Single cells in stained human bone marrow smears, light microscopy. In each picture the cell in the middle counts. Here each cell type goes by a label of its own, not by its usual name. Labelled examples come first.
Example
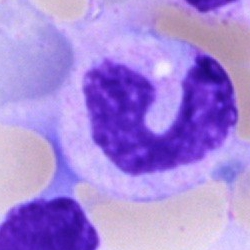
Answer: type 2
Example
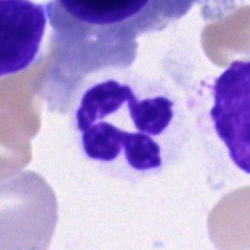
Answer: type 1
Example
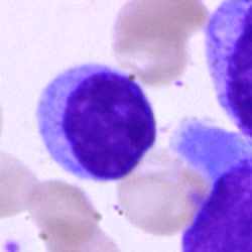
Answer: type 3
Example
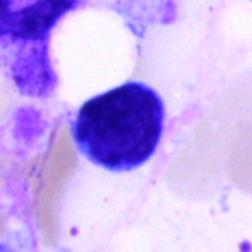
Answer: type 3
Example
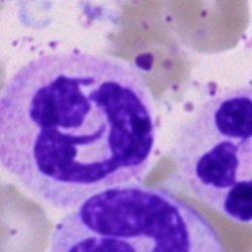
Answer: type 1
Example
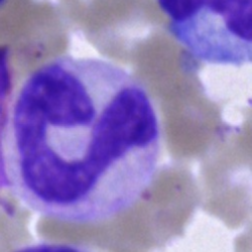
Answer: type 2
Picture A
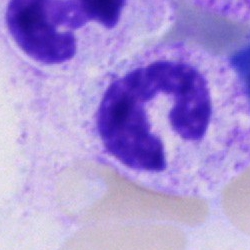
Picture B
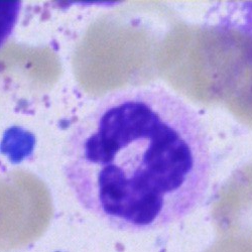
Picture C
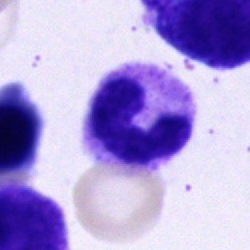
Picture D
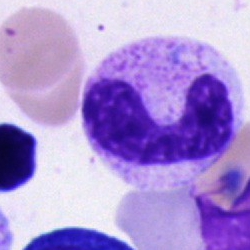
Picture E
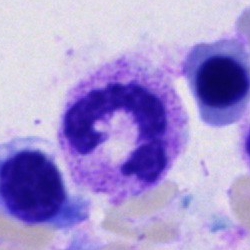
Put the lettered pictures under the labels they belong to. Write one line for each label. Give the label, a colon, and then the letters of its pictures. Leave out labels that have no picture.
type 2: A, C, D
type 1: B, E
